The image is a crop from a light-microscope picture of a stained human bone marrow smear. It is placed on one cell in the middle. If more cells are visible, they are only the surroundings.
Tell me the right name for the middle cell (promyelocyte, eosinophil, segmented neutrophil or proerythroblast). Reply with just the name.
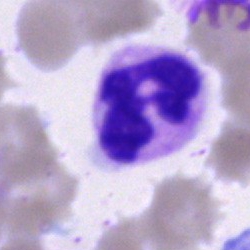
segmented neutrophil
